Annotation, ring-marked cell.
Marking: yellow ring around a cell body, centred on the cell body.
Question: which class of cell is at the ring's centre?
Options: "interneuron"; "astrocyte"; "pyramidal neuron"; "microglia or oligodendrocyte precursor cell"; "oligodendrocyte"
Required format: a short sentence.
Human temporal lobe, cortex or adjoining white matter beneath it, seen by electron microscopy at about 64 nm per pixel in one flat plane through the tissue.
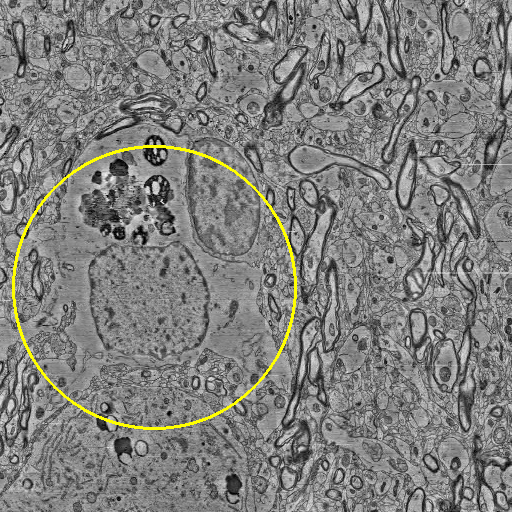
At the ring's centre is an astrocyte.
